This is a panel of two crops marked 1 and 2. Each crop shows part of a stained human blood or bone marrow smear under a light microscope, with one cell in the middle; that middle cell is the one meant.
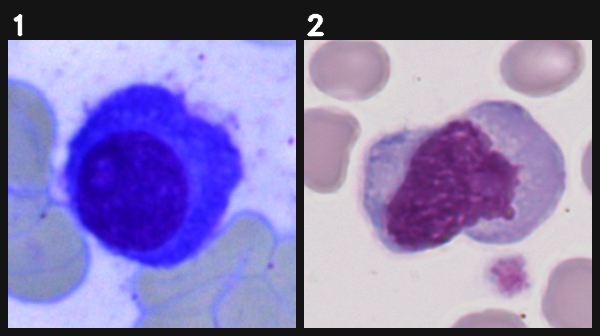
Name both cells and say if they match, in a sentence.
Yes, plasma cells are shown in both crops.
